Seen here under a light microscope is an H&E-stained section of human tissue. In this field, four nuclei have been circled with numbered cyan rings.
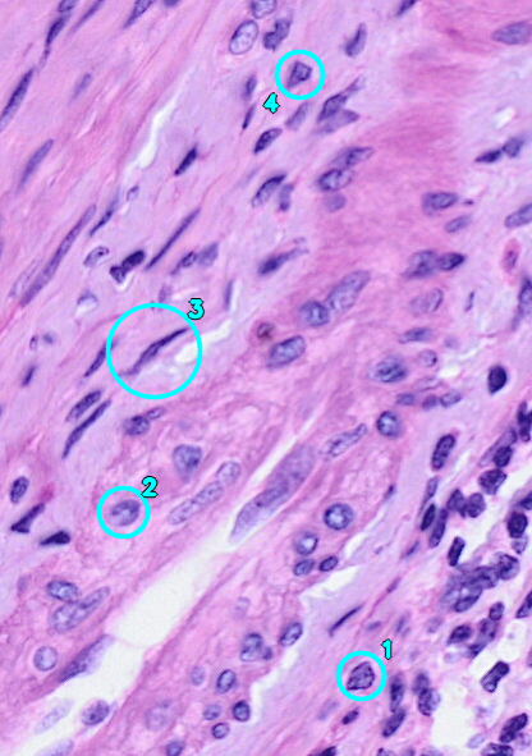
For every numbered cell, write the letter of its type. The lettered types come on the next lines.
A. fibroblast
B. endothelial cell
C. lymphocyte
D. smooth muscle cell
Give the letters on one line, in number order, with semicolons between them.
C; D; A; A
